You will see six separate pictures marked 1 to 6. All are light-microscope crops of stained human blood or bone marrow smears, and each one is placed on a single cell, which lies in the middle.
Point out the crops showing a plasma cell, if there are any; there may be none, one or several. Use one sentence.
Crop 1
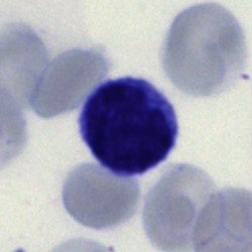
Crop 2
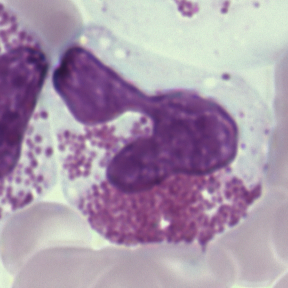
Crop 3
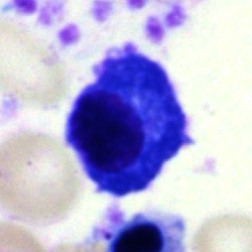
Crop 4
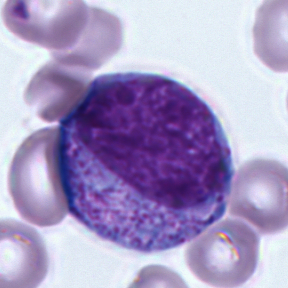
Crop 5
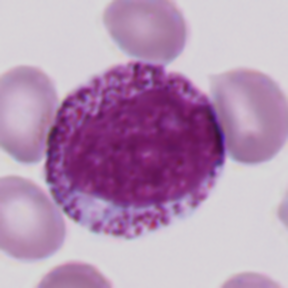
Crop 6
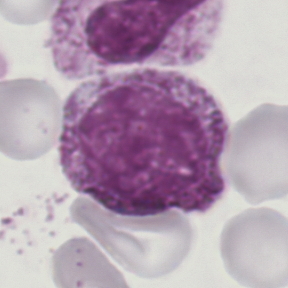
Crop 3 is the only crop in which a plasma cell is shown.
